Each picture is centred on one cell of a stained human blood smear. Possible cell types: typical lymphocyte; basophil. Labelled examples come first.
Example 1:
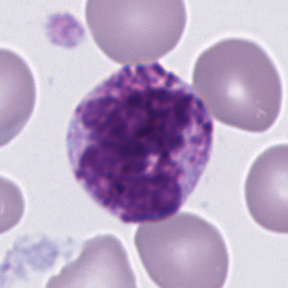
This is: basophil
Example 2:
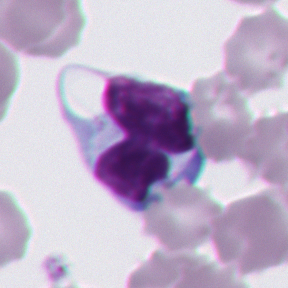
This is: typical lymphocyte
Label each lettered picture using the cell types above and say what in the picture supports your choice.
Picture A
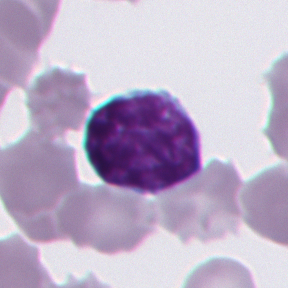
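typical lymphocyte. Reason: The nucleus is a single, unlobed mass.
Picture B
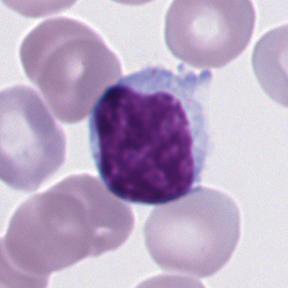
typical lymphocyte. Reason: A few fine pinkish-purple granules lie in the cytoplasm above the nucleus.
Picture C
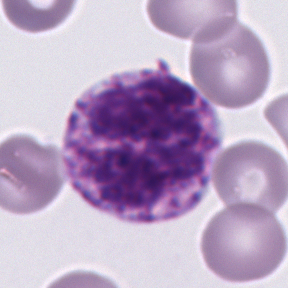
basophil. Reason: Coarse dark violet granules are scattered over the whole cell, including over the nucleus.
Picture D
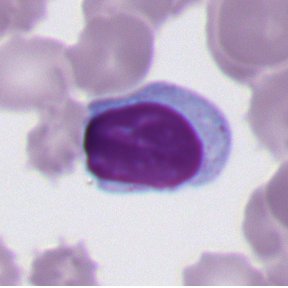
typical lymphocyte. Reason: A few fine reddish granules lie scattered in the cytoplasm.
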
